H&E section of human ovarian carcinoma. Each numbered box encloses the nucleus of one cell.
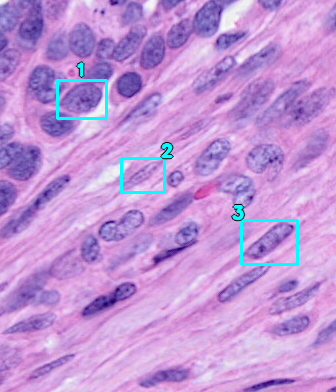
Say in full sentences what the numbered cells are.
Cell 1 is a carcinoma cell, cell 2 is a fibroblast and cell 3 is a fibroblast.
